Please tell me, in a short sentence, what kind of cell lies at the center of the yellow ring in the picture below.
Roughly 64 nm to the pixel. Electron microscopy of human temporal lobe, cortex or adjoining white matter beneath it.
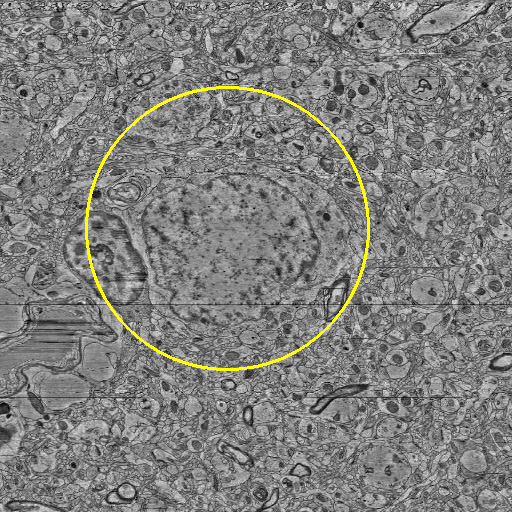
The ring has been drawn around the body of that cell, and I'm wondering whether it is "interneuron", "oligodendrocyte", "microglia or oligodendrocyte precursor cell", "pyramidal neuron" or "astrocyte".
The cell at the center of the ring is an interneuron.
